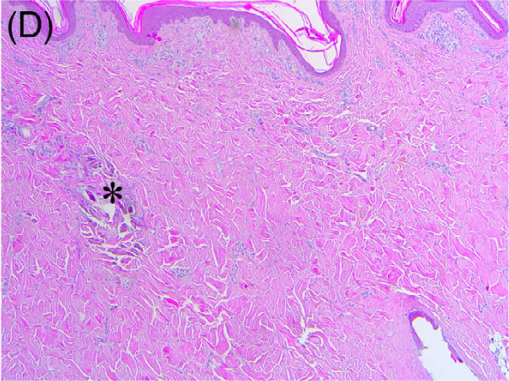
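Skin at low power with a thin pink epidermis on top and a thick dermis of interwoven pink collagen bundles. The epidermis dips into a few narrow invaginations, and an empty elongated opening lies near the lower right. In the mid dermis on the left is a small elongated zone where the collagen is loosened by clefts and tinged bluish-grey. Scattered small purple nuclei lie in the upper dermis and along small vessels. The remaining dermis shows collagen bundles of ordinary texture.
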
